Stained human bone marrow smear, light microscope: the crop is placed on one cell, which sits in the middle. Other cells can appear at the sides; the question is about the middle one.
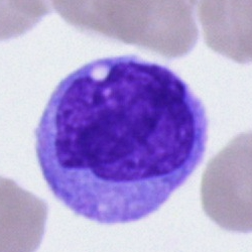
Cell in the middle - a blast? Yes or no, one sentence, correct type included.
Yes, that is right: the middle cell is a blast.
